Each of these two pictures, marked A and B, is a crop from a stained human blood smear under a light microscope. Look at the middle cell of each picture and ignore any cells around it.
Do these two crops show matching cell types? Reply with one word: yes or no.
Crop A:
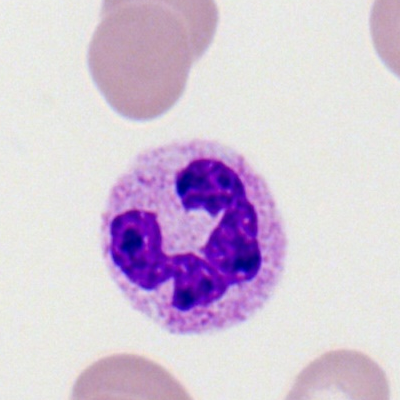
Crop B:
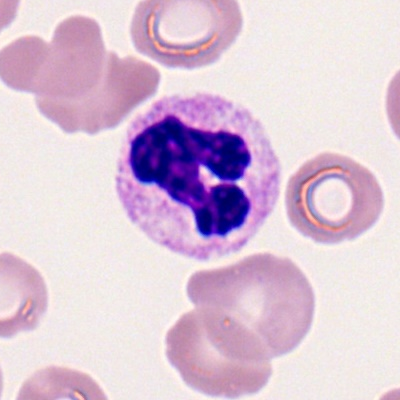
yes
